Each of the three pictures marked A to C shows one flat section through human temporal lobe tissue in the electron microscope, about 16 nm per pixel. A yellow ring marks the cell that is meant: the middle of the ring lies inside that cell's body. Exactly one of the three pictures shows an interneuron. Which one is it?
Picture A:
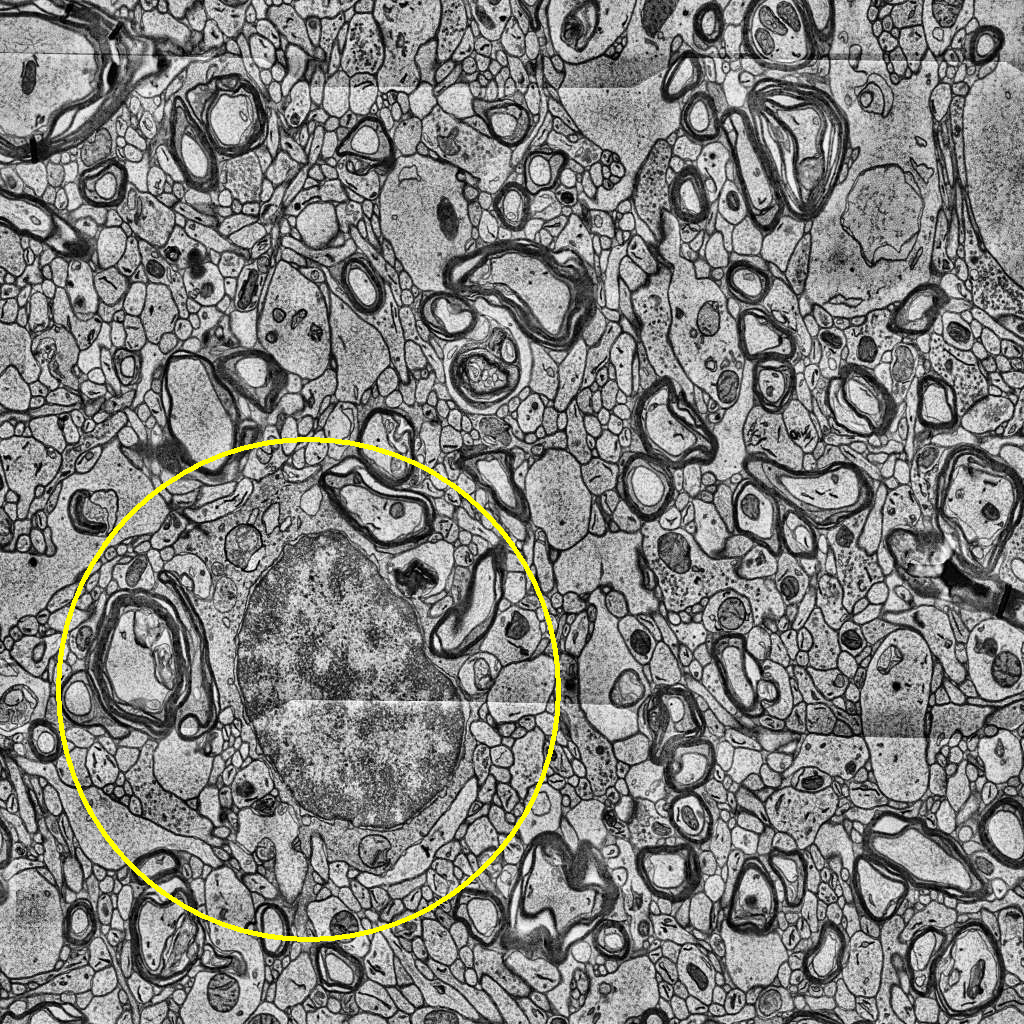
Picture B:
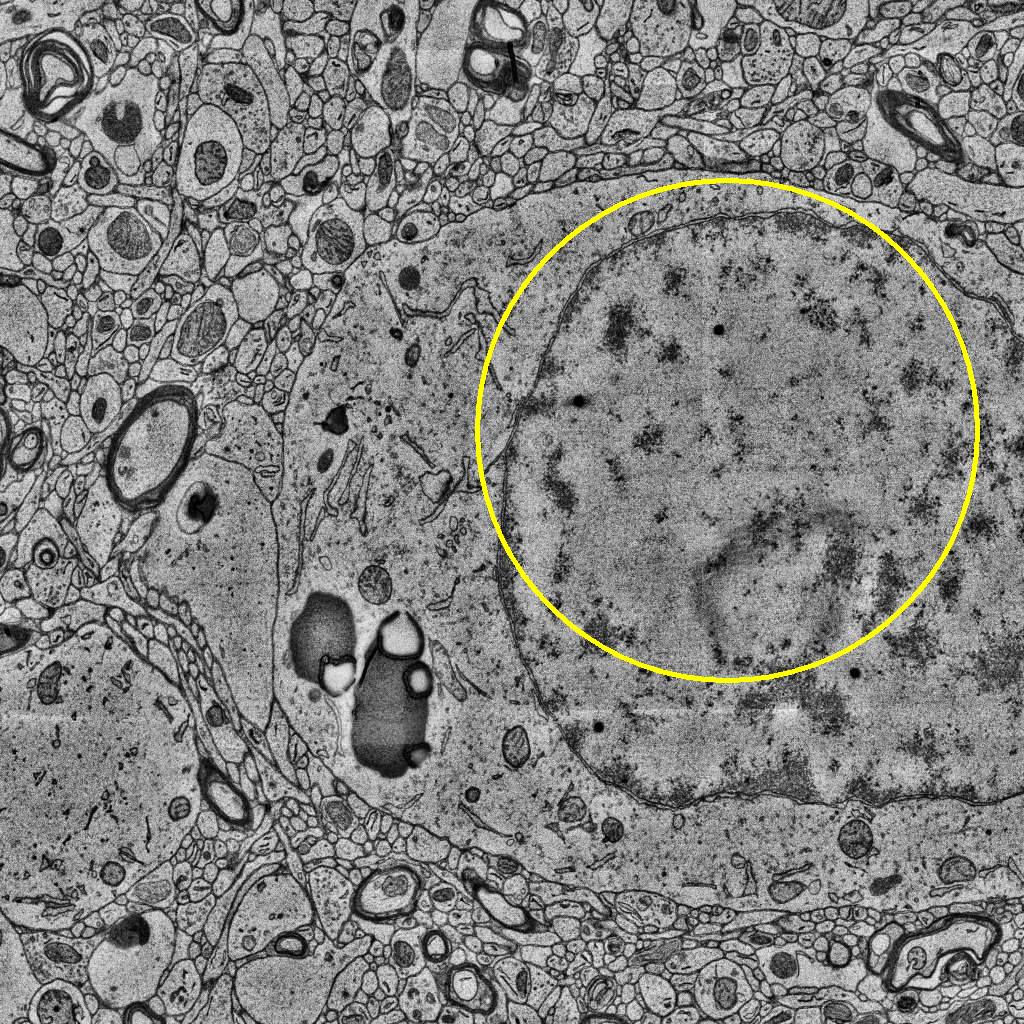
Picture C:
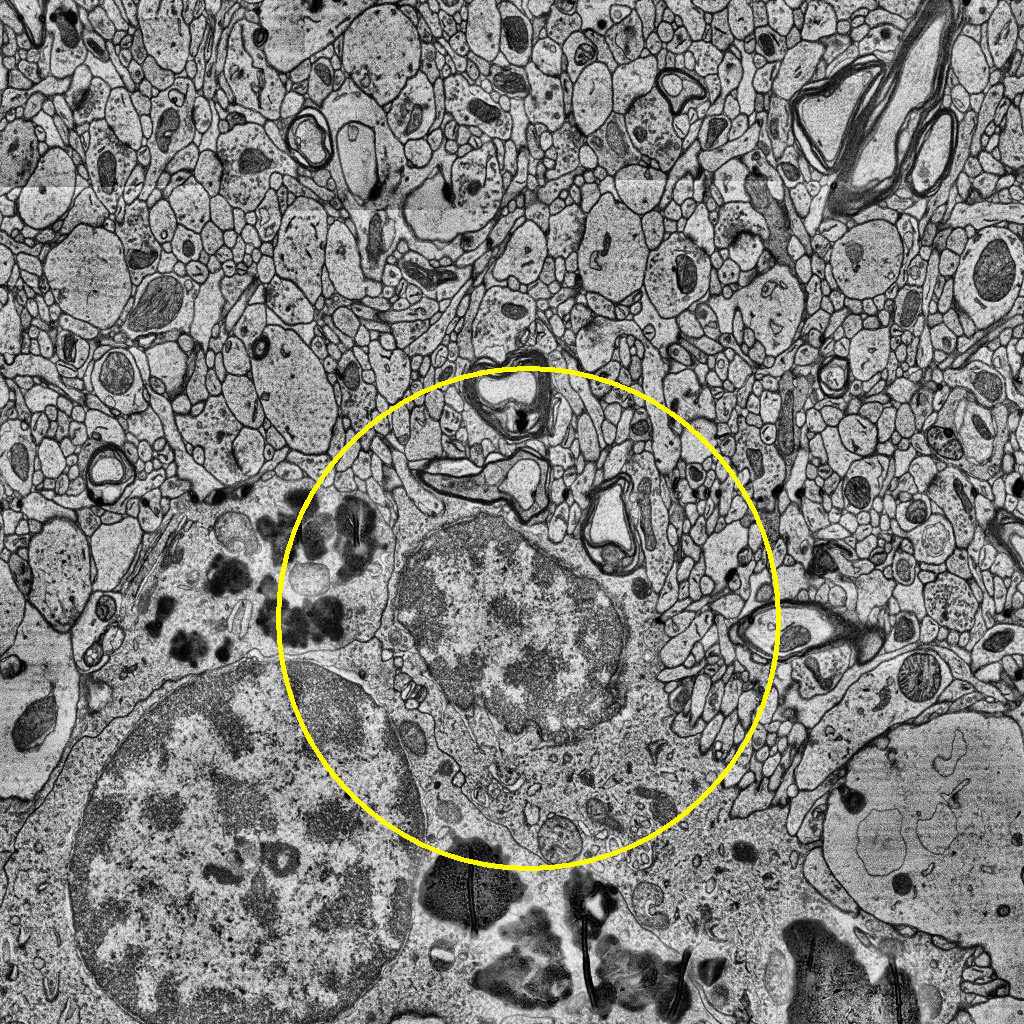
The picture with the interneuron is B.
